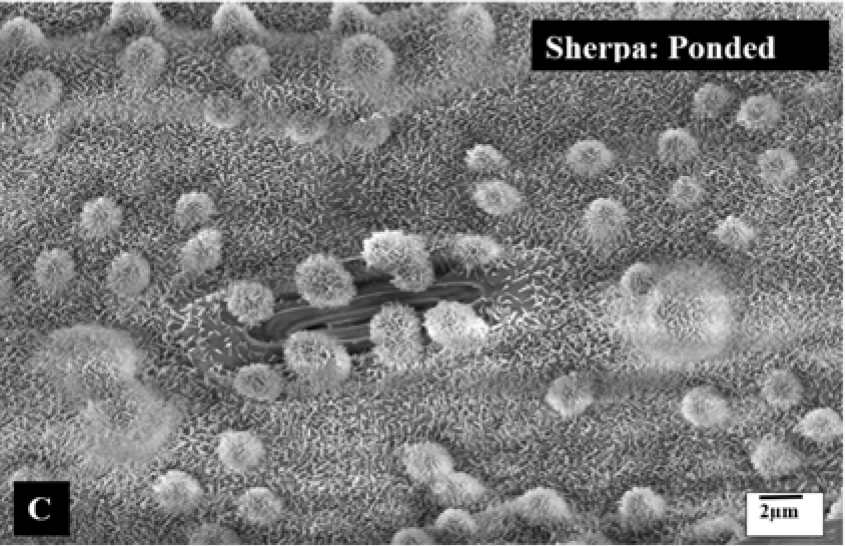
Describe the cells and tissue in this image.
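Everything is coated with a fine crust of tiny flake-like wax crystals, giving a fuzzy texture. Rounded knob-like papillae, each a couple of micrometres wide, rise from the surface in loose rows. In the middle lies a stoma: an elongated slit pore flanked by smooth guard cell lips, with a ring of papillae arching around its edges but leaving the opening visible. A few blurred, swollen-looking bulges appear at the sides.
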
